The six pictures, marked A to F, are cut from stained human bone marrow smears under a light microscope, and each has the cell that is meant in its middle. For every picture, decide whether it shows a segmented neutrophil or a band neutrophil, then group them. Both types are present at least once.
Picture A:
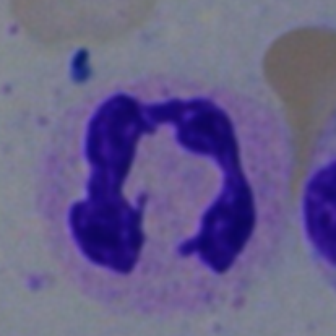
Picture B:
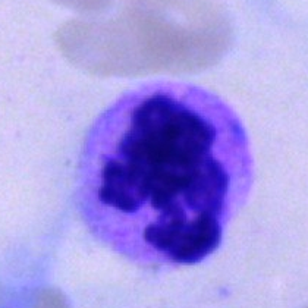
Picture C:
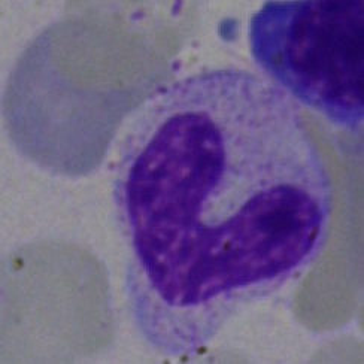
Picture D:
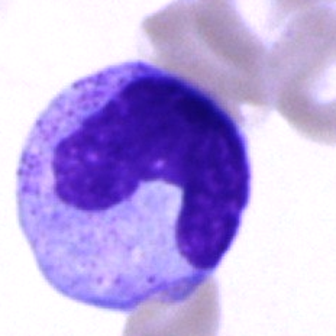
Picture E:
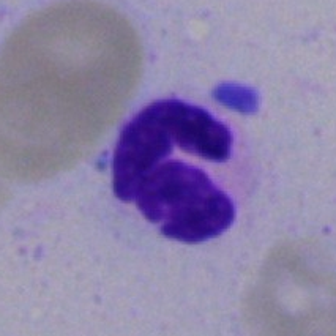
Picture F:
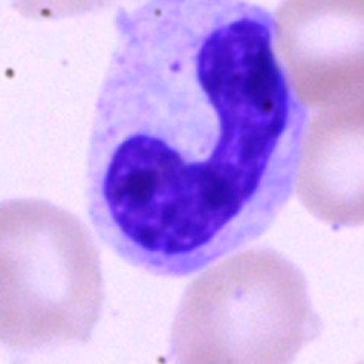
A: segmented neutrophil
B: segmented neutrophil
C: band neutrophil
D: band neutrophil
E: segmented neutrophil
F: band neutrophil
